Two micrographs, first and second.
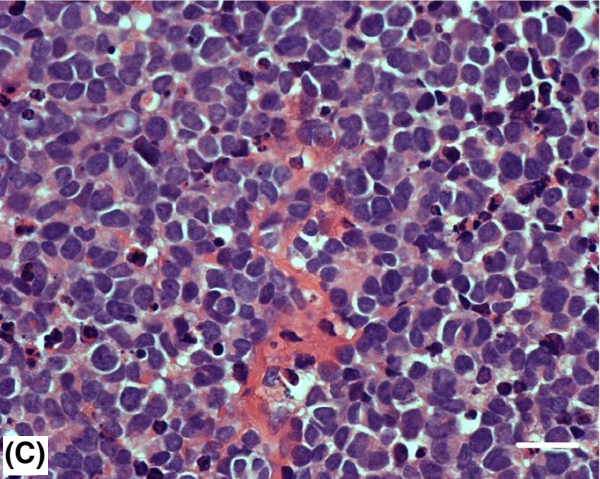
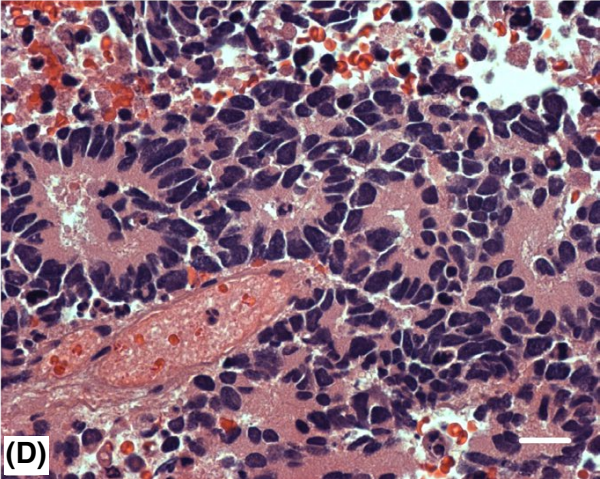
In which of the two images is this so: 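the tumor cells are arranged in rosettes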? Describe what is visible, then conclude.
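The second image. Second image: nuclei are lined up radially around central pink areas forming rings. First image: cells lie in a diffuse sheet without ring arrangements.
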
